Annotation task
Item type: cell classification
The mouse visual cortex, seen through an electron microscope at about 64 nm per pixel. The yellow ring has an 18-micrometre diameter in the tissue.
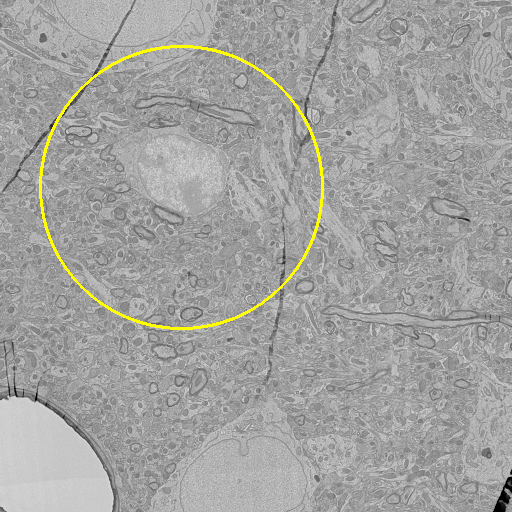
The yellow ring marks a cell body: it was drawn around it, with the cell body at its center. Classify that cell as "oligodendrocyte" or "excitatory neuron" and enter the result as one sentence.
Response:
The ring's center falls on an oligodendrocyte.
